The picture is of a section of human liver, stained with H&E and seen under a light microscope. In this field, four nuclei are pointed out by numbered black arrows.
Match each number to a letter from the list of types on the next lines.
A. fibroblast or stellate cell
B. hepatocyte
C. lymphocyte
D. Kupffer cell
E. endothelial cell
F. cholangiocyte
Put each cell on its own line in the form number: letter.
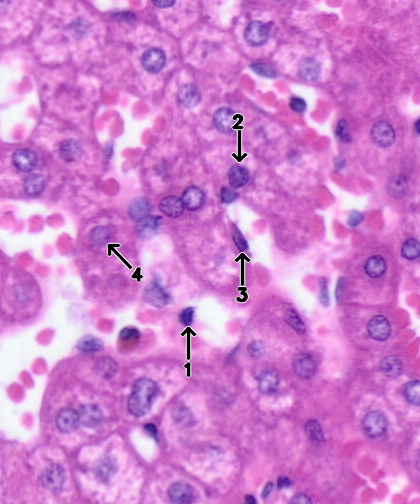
1: C
2: B
3: D
4: B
